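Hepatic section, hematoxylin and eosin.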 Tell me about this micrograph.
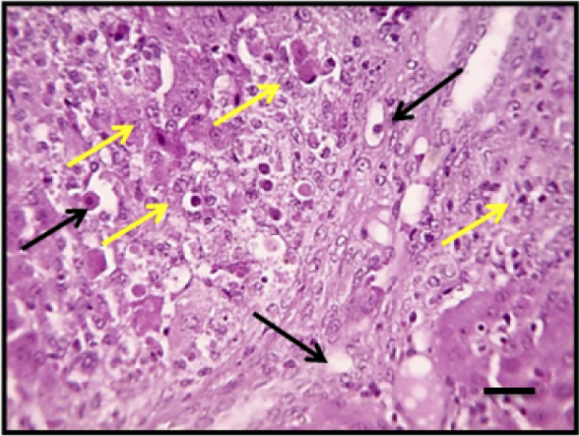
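Liver tissue in which the regular arrangement of hepatocyte cords is lost. Cells vary in size and staining; many have pale, cleared or vacuolated cytoplasm, and several round empty spaces contain small, dark, condensed nuclei. Scattered through the field are irregular clumps of deeply pink material and dark fragments, and there are areas where cells appear broken up and crowded with small dark nuclei. Elongated clear spaces and vessel-like channels run through the tissue. Compared with normal liver, the cells are disordered, the sinusoidal pattern is not recognisable, and the staining is patchy.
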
